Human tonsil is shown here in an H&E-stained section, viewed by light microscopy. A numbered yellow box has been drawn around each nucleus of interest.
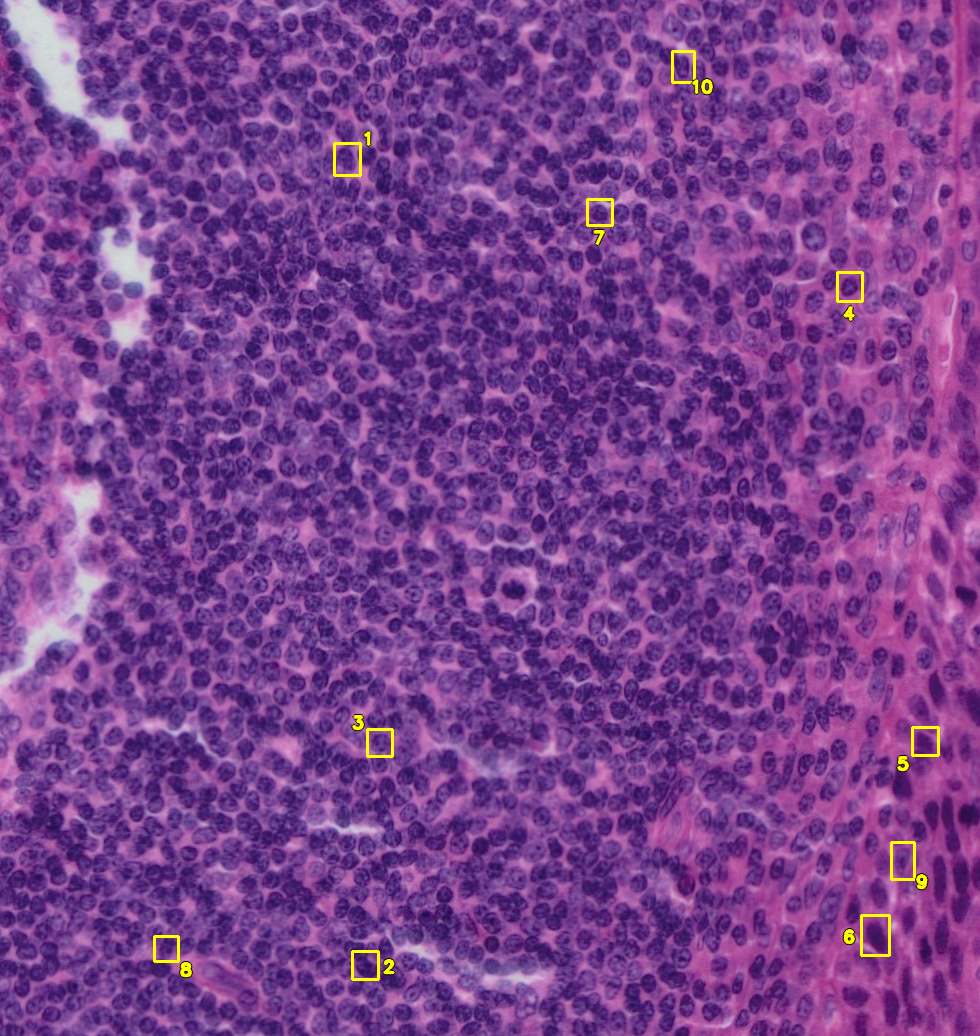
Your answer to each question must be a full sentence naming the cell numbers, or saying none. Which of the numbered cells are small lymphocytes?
The numbers 1, 2, 3, 7, 8 and 10 refer to cells that are small lymphocytes.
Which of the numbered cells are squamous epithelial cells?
So, the cells with numbers 5, 6 and 9 are squamous epithelial cells.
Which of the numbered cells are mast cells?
The numbered cells are all of types other than mast cells.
